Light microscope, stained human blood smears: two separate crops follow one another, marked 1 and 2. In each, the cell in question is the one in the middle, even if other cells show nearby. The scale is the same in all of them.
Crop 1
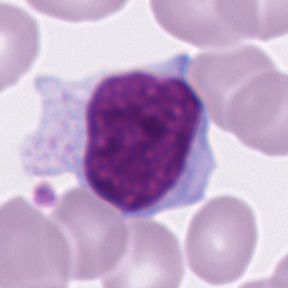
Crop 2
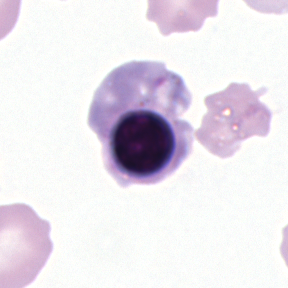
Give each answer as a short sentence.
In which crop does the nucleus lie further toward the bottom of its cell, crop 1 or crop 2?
The nucleus in crop 2 lies further toward the bottom of its cell.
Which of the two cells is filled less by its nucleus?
It is the cell in crop 2 that is filled less by its nucleus.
